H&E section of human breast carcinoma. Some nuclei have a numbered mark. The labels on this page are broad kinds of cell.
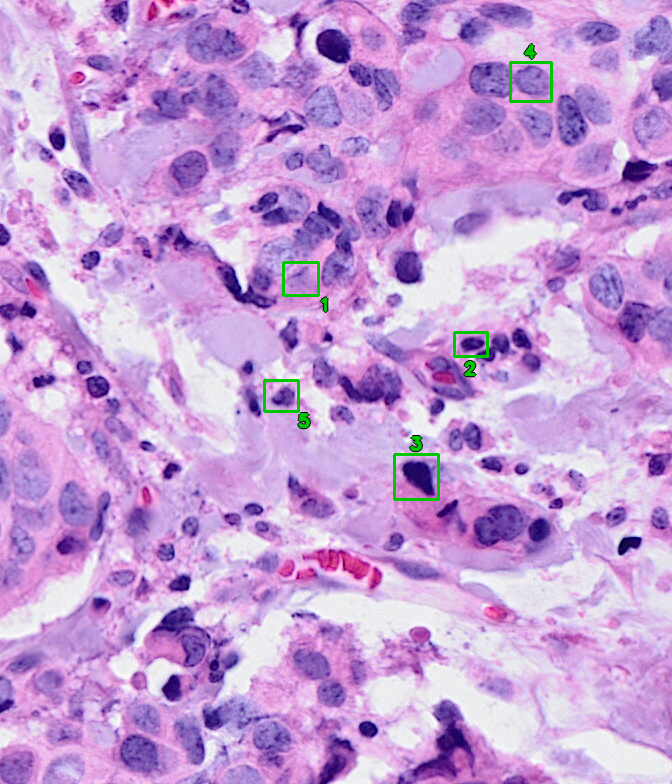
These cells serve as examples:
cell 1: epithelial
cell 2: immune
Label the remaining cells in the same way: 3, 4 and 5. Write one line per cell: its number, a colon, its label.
3: epithelial
4: epithelial
5: immune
